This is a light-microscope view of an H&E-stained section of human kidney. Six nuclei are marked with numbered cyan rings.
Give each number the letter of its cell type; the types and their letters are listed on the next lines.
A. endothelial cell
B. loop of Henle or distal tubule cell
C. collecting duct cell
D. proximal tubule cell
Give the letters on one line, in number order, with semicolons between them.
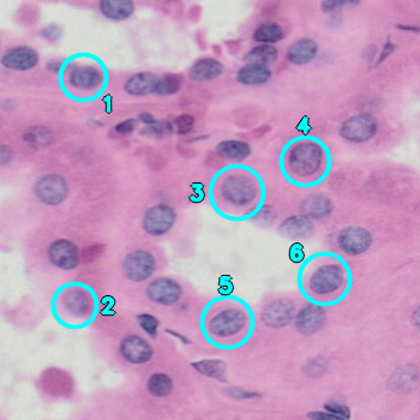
B; D; B; D; B; B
